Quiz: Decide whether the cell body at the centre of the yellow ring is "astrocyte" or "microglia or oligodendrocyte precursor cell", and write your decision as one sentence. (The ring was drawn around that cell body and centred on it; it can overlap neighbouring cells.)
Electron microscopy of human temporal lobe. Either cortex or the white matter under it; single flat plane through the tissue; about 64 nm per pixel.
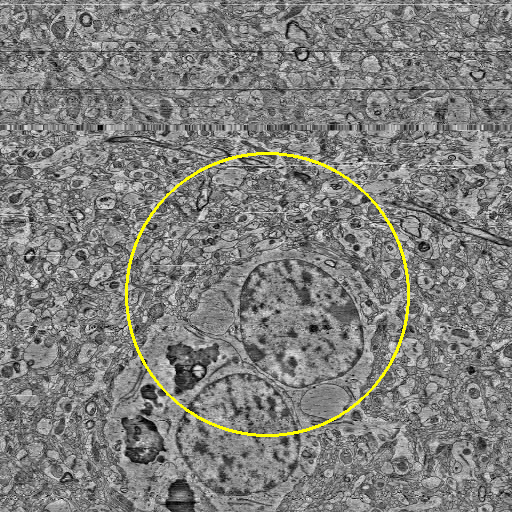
The cell the ring is centred on is an astrocyte.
